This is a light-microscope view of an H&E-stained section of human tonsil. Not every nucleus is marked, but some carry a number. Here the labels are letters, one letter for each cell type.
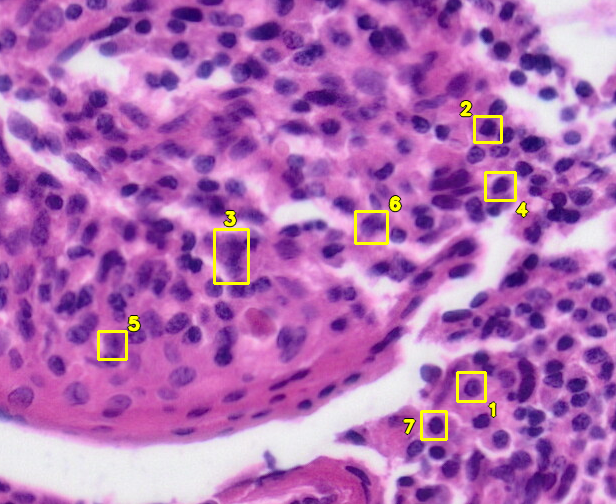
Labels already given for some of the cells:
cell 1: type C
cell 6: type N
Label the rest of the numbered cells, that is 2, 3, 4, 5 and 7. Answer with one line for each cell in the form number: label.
2: type C
3: type N
4: type C
5: type N
7: type C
